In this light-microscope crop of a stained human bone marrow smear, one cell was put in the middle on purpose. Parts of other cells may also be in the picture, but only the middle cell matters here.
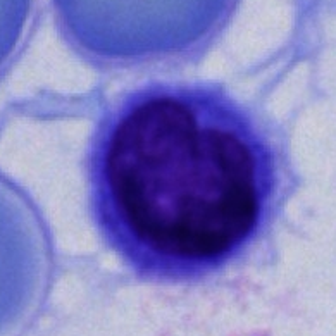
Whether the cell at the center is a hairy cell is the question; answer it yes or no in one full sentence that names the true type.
Yes, the middle of the crop is occupied by a hairy cell.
